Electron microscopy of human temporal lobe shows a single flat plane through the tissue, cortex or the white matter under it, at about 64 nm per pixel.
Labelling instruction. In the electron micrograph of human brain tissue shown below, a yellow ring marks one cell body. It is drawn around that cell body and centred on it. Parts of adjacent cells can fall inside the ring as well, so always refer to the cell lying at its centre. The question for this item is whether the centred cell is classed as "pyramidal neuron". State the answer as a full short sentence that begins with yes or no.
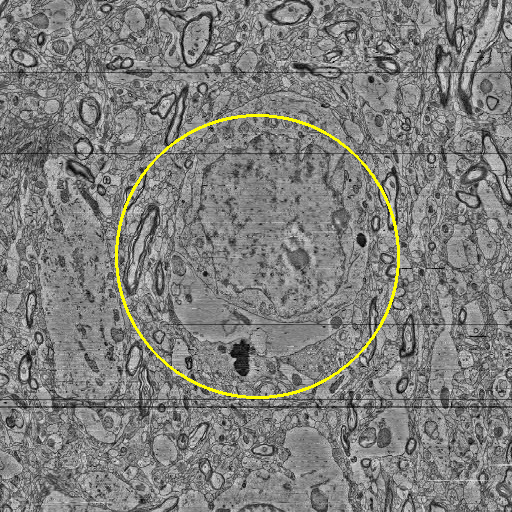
No, the centred cell belongs to another class.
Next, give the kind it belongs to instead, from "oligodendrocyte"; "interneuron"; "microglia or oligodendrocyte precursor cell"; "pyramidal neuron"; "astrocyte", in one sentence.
The cell shown in the ring is an interneuron.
